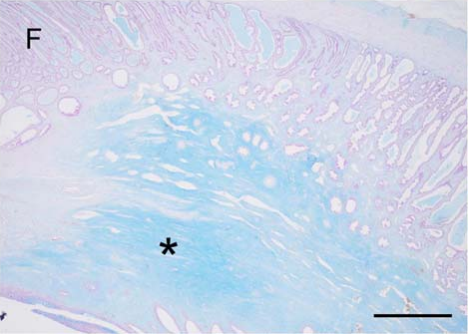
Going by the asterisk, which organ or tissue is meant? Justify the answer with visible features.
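The asterisk lies in a broad, loose, pale blue-staining area. Glandular spaces lie above this area. The answer: Myxoid stroma.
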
